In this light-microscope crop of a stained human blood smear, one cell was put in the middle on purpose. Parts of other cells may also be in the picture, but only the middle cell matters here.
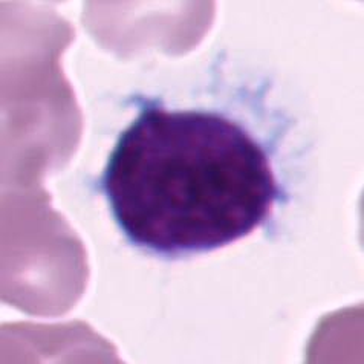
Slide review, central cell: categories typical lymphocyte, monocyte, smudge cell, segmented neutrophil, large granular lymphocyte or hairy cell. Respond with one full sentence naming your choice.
The cell in the middle of this crop is a hairy cell.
